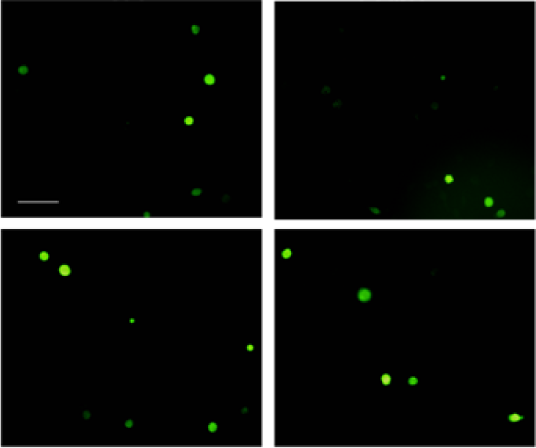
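The cells are small and round, without visible processes. They show as bright green dots of varying size and intensity. Some fields also hold fainter, smaller dots.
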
